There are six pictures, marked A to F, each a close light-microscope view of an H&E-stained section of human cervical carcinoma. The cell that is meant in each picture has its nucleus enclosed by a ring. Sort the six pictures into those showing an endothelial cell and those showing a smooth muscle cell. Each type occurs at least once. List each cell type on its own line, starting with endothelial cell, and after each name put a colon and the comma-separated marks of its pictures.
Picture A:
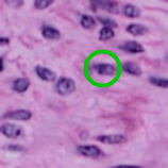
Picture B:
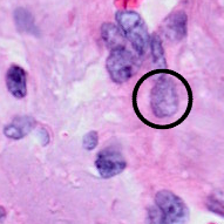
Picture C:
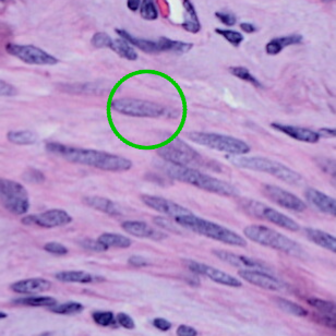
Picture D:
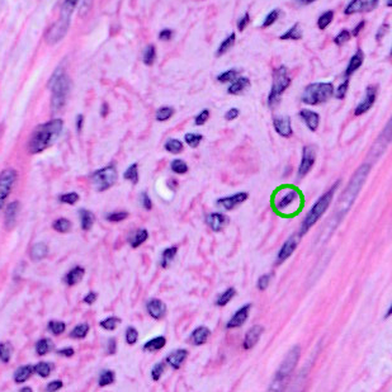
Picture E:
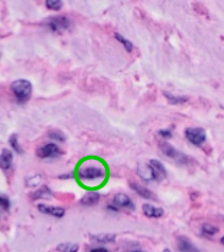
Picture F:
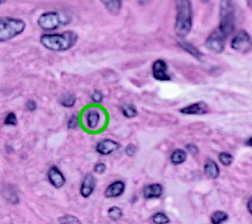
endothelial cell: B, E
smooth muscle cell: A, C, D, F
